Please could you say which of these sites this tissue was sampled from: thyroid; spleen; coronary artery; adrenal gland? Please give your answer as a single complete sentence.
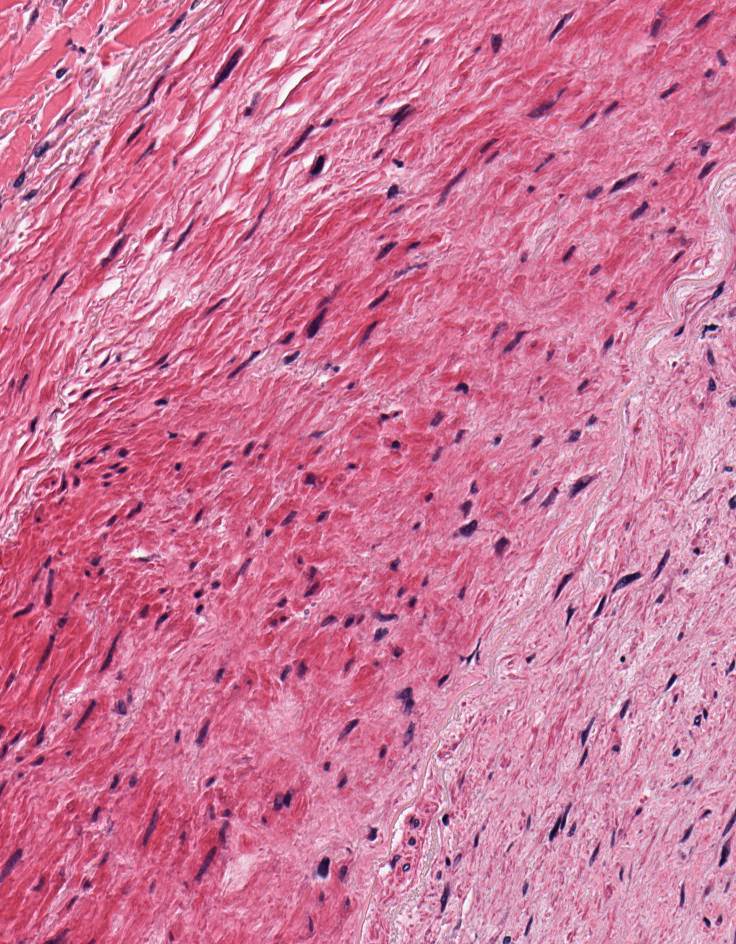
This tissue was harvested from the coronary artery.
